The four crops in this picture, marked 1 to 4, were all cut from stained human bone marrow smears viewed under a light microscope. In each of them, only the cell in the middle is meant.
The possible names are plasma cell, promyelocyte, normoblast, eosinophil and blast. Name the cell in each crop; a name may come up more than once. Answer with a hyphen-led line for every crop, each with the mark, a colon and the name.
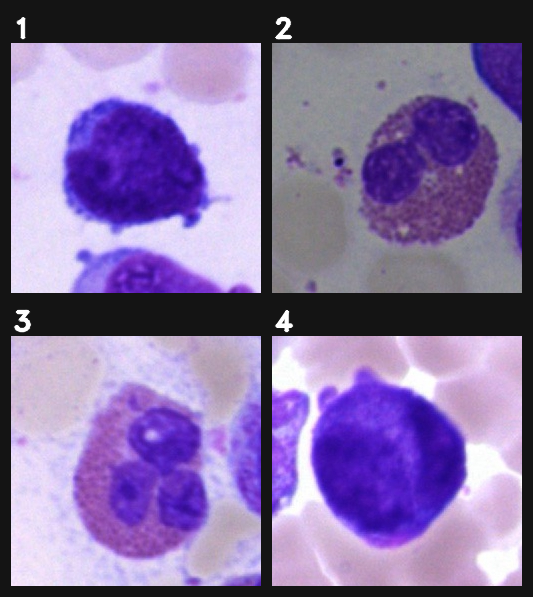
- 1: blast
- 2: eosinophil
- 3: eosinophil
- 4: blast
